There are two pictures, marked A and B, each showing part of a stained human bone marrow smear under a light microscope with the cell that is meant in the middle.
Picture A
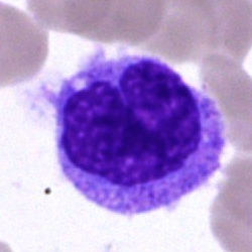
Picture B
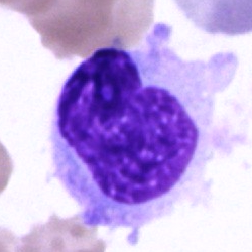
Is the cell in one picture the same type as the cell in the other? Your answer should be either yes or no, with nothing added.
no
